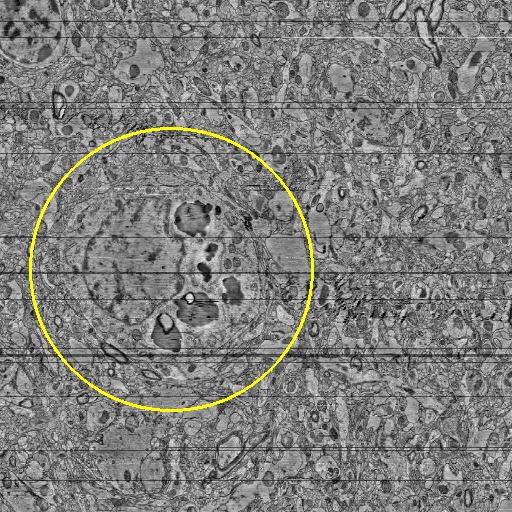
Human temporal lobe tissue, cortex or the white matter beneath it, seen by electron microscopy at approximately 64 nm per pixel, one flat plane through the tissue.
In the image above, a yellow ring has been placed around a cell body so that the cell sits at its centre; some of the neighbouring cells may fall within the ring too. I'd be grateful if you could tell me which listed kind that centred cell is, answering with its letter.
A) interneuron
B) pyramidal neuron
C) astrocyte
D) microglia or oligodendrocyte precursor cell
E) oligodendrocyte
A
